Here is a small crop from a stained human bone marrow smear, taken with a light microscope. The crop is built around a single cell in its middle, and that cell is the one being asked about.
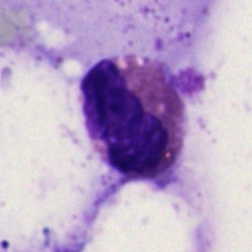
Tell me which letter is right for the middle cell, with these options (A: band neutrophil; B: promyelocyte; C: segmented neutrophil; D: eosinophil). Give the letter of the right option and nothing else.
D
